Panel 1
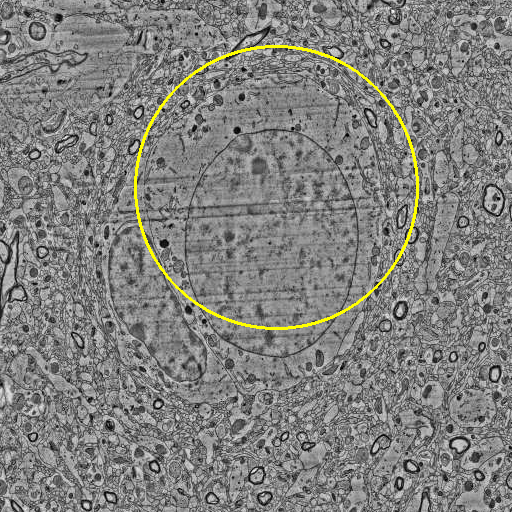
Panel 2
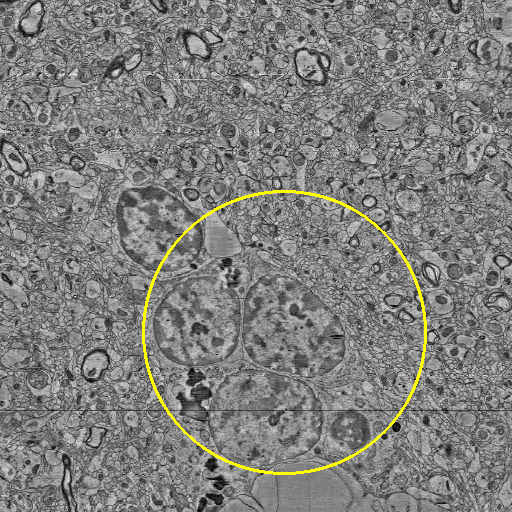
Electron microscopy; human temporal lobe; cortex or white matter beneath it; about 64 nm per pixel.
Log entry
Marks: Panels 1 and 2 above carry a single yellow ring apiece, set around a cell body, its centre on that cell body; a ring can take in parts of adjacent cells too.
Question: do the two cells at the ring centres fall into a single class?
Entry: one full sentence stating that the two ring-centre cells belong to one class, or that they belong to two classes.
The two ring-centre cells in Panels 1 and 2 belong to two classes.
